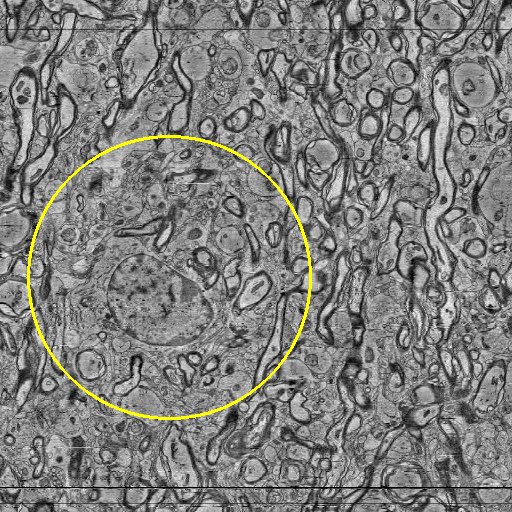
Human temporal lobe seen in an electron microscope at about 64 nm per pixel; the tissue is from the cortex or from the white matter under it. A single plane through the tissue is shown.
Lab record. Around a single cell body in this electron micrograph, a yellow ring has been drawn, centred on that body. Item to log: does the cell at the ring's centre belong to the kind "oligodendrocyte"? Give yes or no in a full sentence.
No, in the micrograph, the ringed cell at the centre belongs to a different kind.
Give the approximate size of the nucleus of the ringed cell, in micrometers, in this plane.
The nucleus comes to roughly 7 by 5 micrometres in this plane.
